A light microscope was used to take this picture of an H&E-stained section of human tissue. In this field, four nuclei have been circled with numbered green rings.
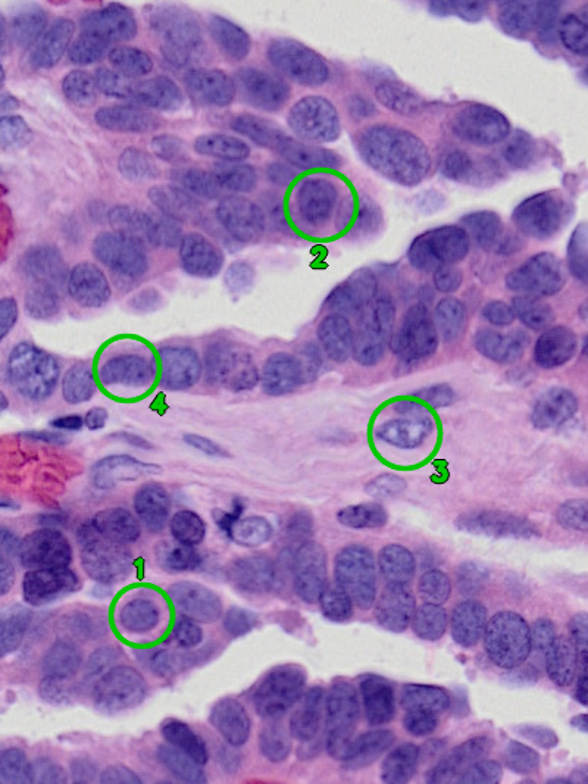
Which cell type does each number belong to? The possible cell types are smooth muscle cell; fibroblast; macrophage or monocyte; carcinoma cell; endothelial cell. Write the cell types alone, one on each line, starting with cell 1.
carcinoma cell
carcinoma cell
fibroblast
carcinoma cell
